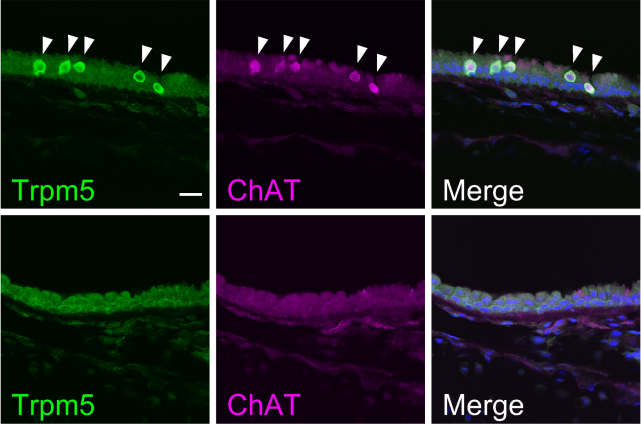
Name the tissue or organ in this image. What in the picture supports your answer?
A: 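A thin epithelial layer of several rows of nuclei lines one surface. Beneath the epithelium lies loose connective tissue with scattered elongated nuclei.
Trachea.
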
